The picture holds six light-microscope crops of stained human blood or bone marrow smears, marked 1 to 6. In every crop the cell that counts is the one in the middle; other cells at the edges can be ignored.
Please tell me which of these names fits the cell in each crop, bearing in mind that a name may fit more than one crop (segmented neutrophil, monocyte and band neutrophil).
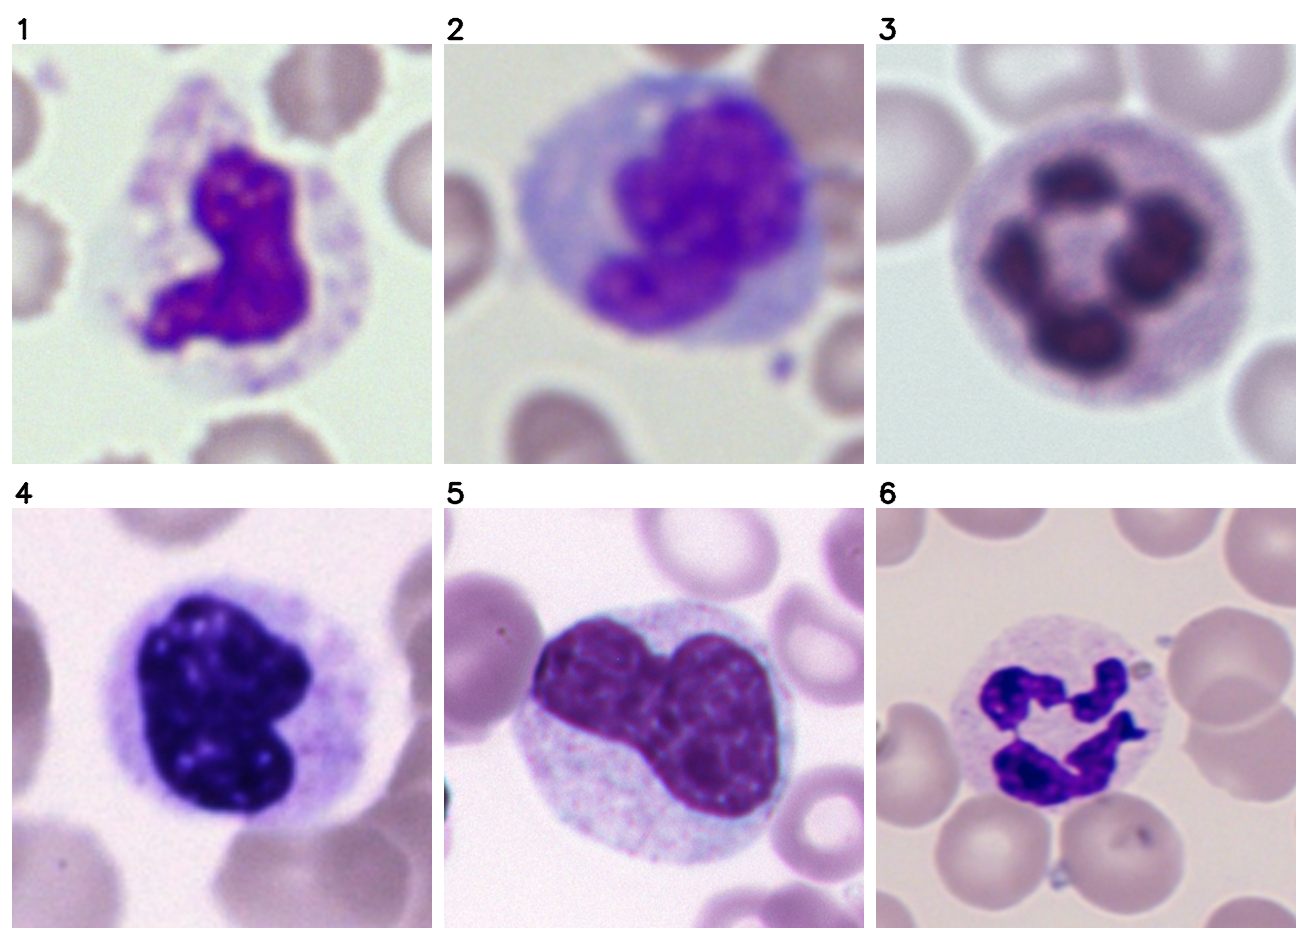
1: band neutrophil
2: monocyte
3: segmented neutrophil
4: segmented neutrophil
5: band neutrophil
6: segmented neutrophil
